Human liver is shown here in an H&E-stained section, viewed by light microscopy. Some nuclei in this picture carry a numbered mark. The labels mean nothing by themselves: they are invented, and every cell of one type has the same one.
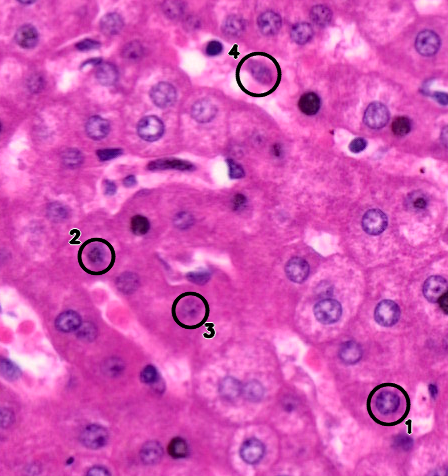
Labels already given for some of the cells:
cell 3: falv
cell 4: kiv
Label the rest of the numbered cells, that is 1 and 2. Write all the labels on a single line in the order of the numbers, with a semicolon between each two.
falv; falv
